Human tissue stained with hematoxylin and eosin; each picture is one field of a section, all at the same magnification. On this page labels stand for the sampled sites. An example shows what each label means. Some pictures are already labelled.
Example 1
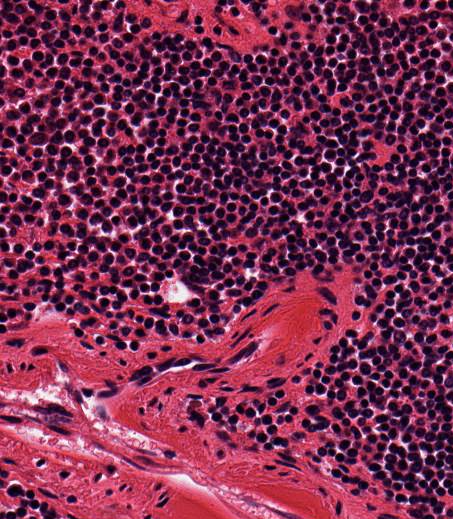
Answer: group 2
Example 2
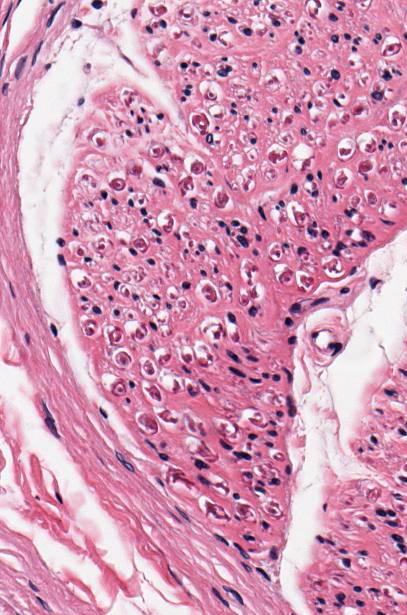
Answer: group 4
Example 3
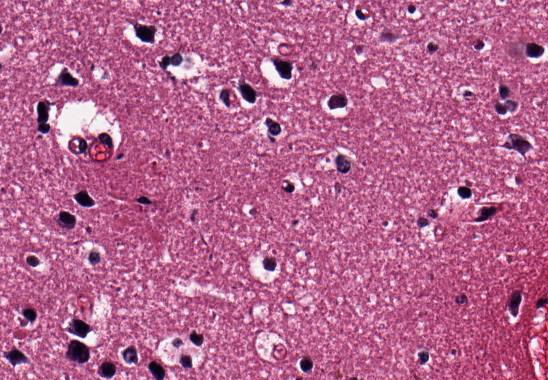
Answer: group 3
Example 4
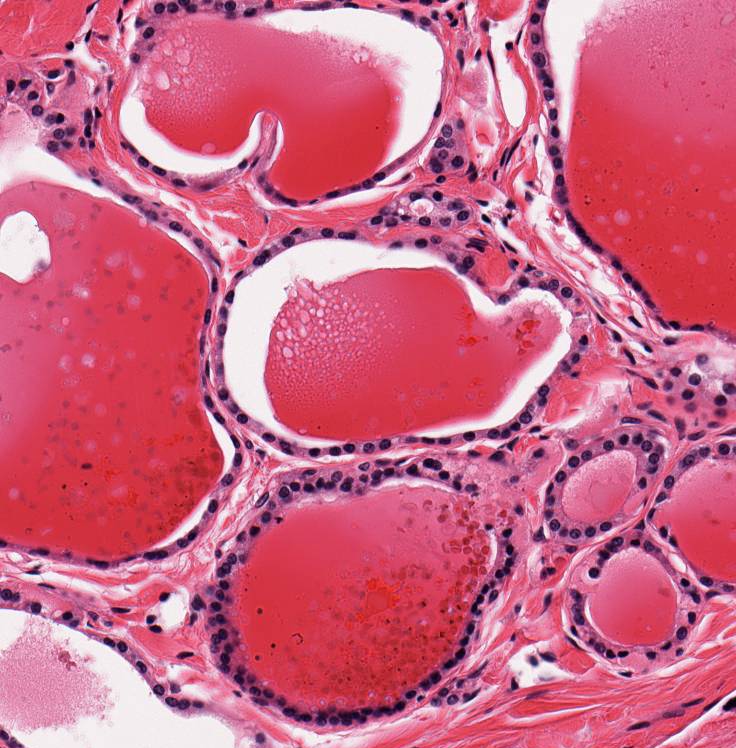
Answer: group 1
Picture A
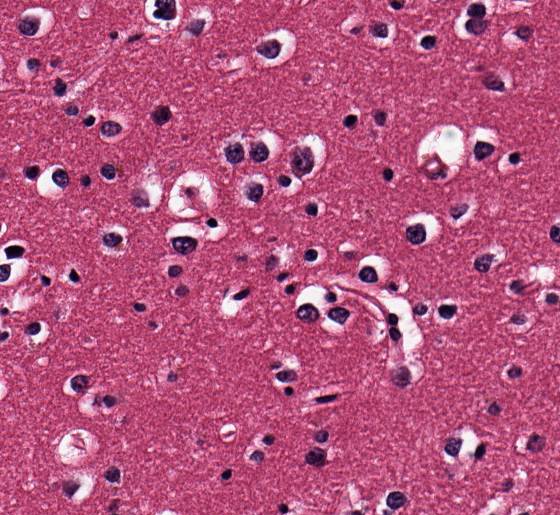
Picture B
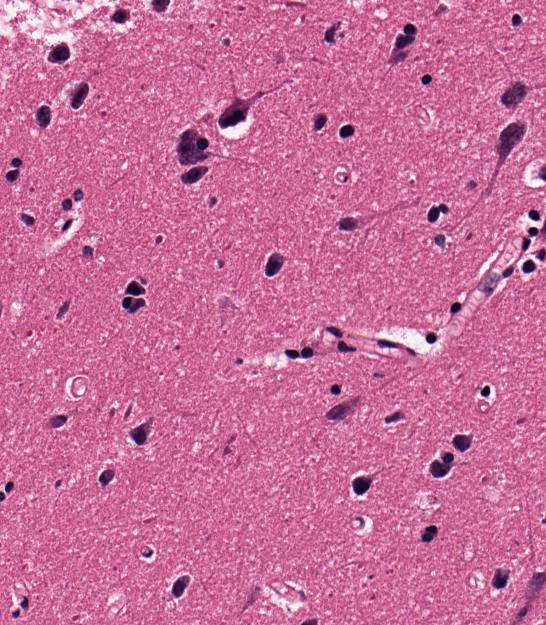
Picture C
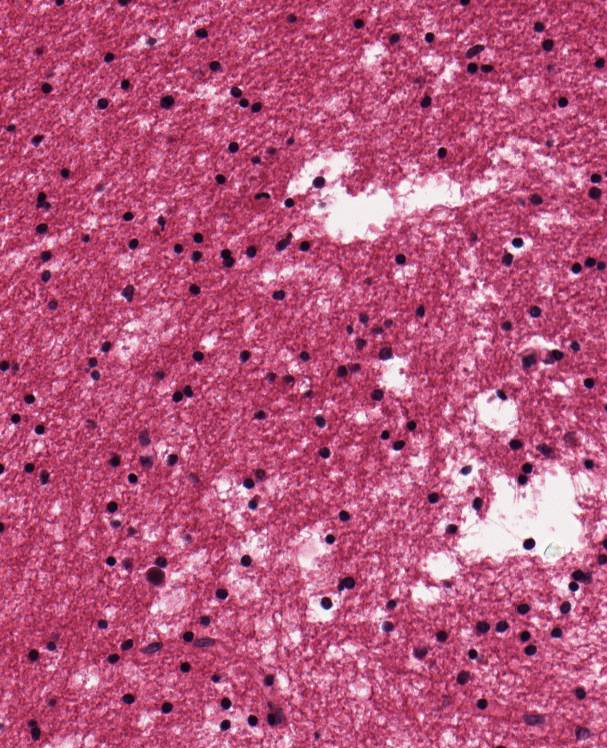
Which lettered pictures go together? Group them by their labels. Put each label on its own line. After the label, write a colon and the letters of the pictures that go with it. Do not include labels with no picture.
group 3: A, B, C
